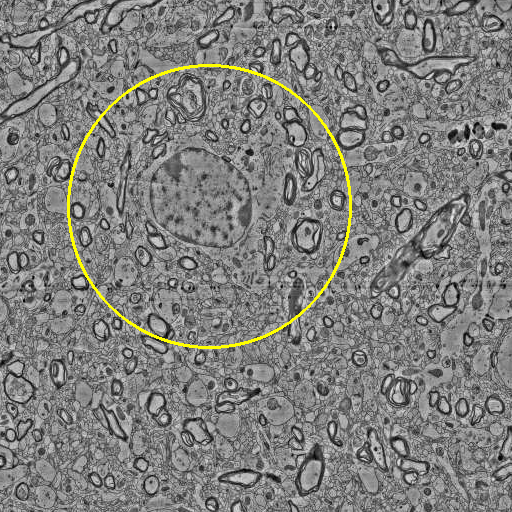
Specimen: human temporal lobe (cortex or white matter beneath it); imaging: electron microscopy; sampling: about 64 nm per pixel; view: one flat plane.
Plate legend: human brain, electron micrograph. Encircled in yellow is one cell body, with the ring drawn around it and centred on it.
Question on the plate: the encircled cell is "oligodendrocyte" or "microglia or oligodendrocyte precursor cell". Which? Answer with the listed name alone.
microglia or oligodendrocyte precursor cell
